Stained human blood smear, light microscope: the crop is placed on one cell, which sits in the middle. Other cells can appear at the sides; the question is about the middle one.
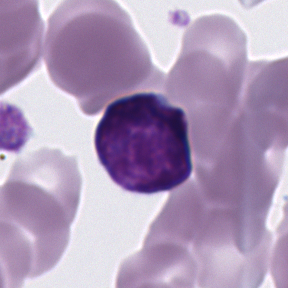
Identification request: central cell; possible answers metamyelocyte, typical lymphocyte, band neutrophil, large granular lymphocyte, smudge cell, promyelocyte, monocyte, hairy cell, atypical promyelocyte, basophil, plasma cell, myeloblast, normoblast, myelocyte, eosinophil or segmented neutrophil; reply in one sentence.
The cell under consideration, at the middle of the crop, is a typical lymphocyte.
